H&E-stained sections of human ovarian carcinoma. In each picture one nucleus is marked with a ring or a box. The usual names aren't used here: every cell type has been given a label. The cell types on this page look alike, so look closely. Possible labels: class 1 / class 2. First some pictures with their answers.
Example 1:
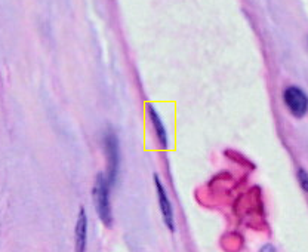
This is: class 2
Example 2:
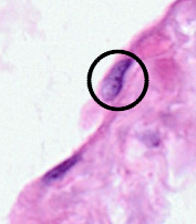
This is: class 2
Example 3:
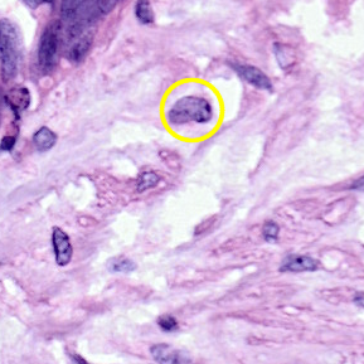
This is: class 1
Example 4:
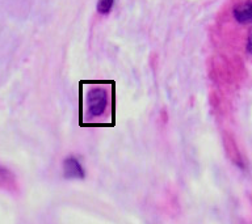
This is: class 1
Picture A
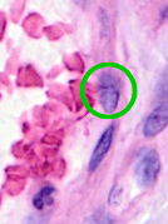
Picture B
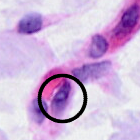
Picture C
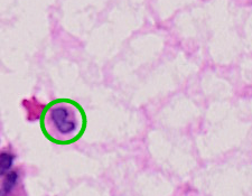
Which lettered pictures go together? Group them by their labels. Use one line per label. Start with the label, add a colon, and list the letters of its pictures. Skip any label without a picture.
class 1: C
class 2: A, B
